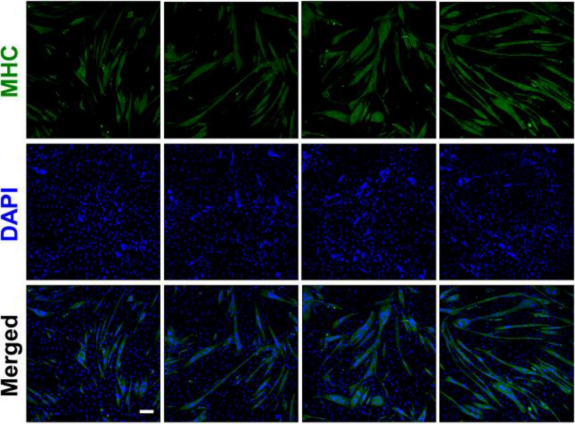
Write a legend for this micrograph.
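A dense culture of cultured muscle-forming cells, where the green-stained ones are elongated and spindle-shaped to long and tubular, lying roughly parallel in places and crossing elsewhere. Across the columns, the green cells seem longer and wider in the later columns. Together, these features fit multinucleated myotubes forming from fusing myoblasts in a differentiating culture.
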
